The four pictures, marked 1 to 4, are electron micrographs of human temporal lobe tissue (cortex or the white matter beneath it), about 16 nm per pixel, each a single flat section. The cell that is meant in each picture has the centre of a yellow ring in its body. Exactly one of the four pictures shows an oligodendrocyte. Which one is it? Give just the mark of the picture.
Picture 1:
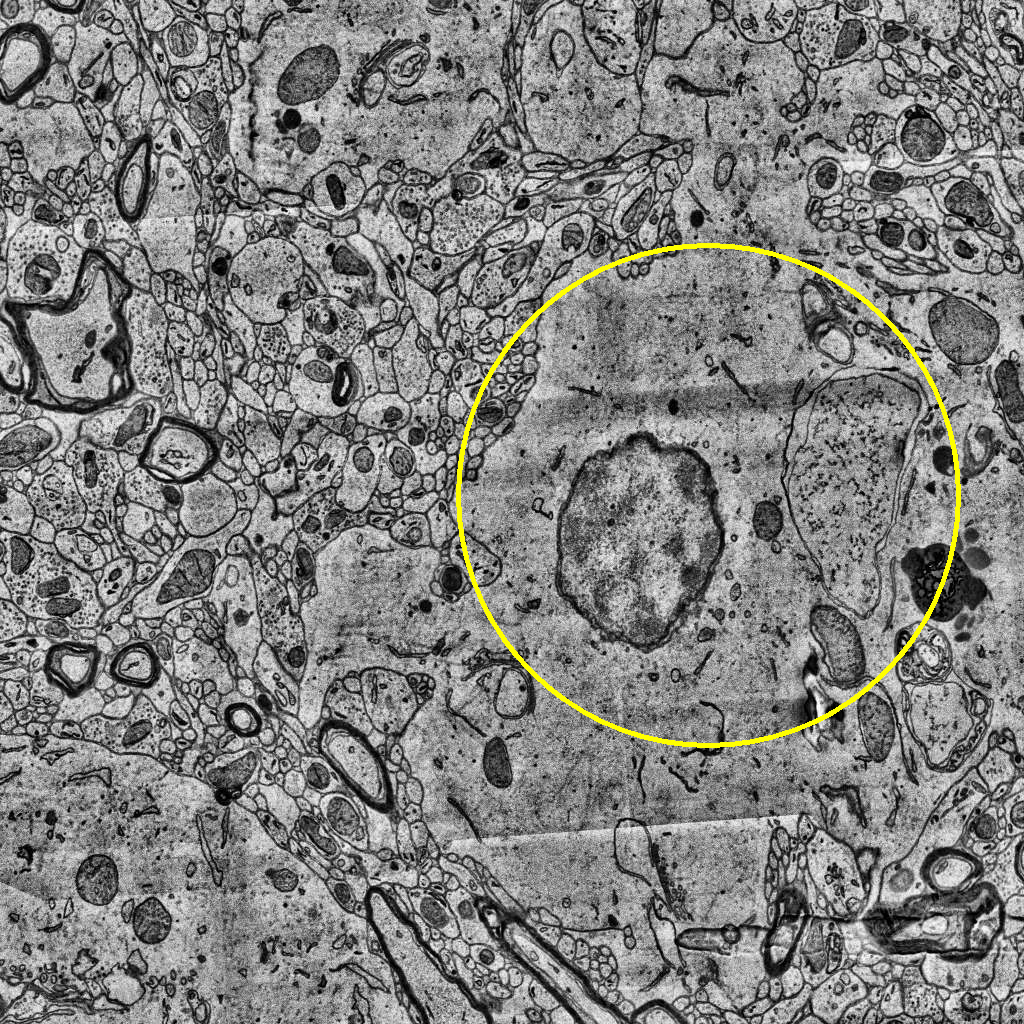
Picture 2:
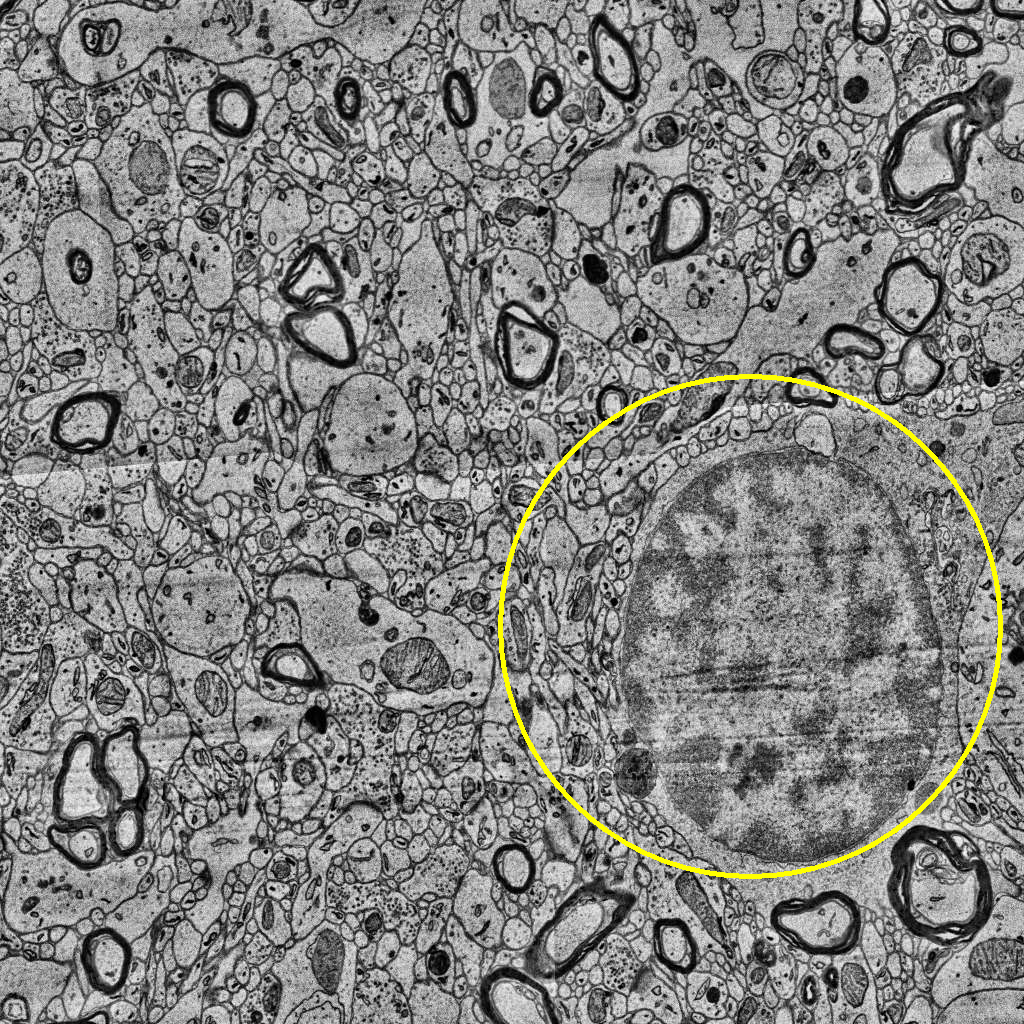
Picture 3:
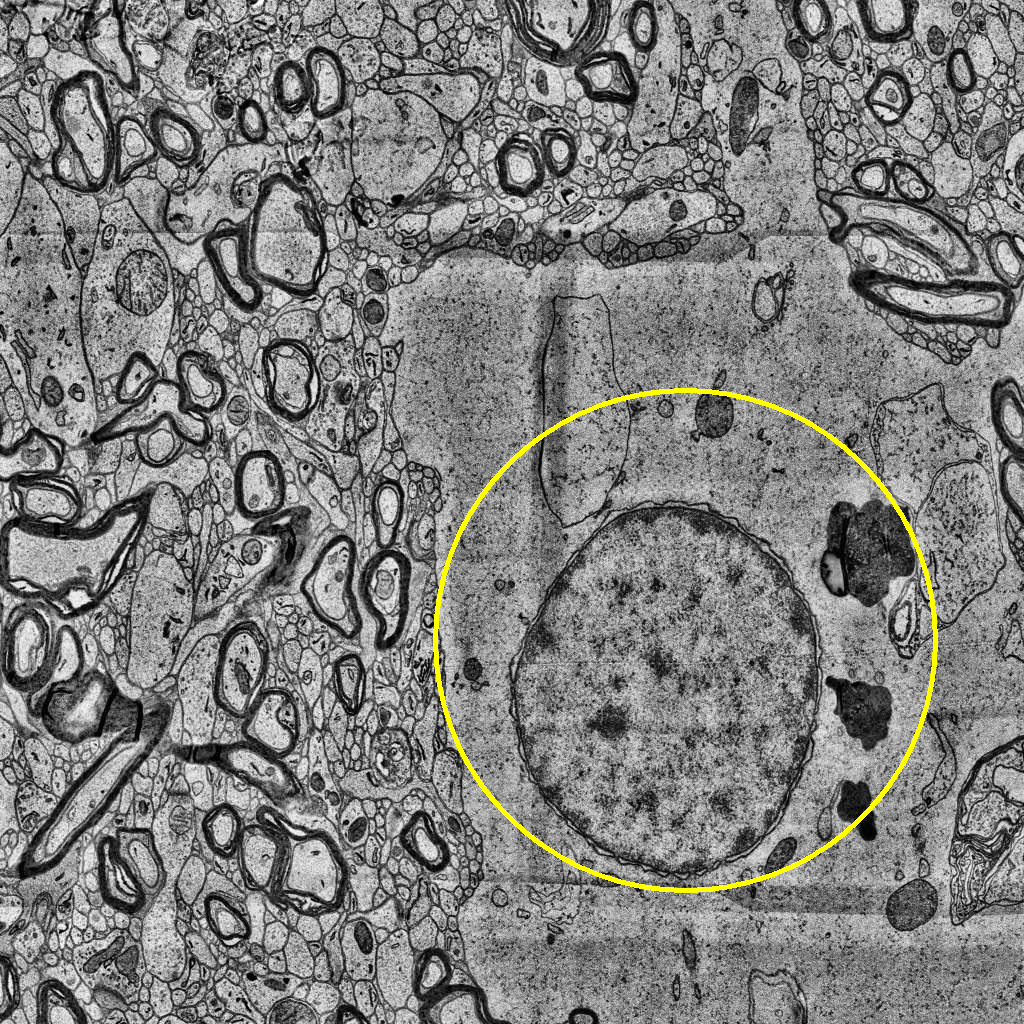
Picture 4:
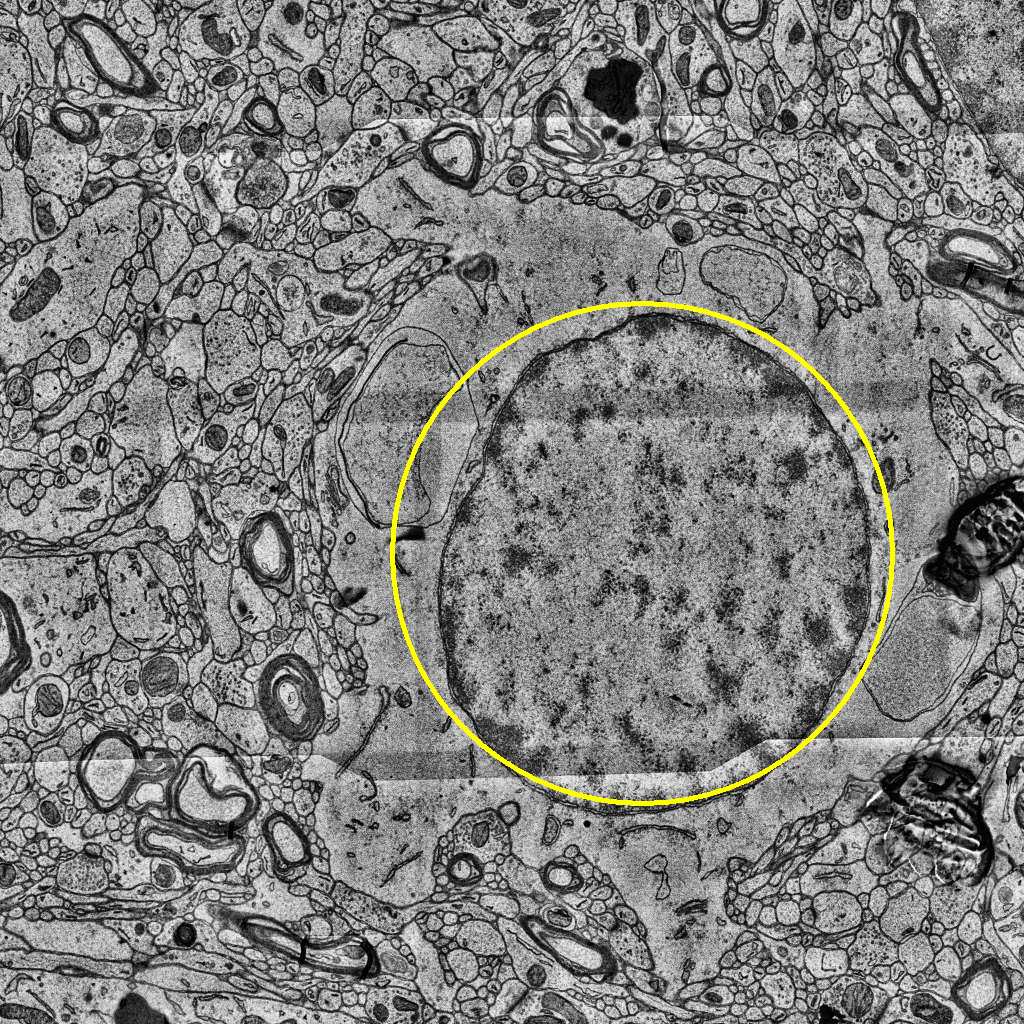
2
